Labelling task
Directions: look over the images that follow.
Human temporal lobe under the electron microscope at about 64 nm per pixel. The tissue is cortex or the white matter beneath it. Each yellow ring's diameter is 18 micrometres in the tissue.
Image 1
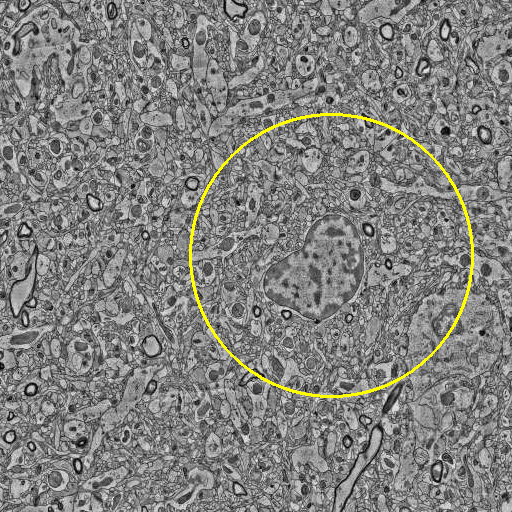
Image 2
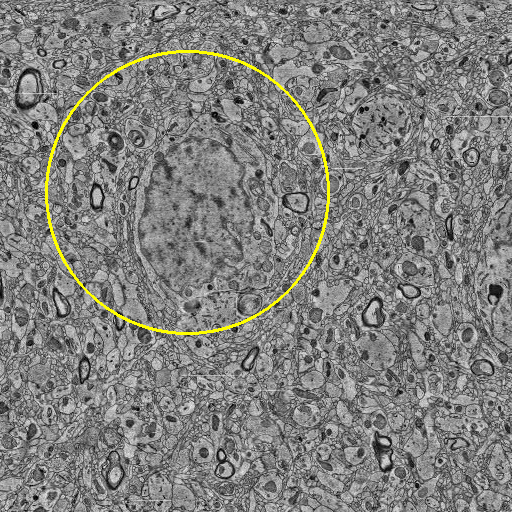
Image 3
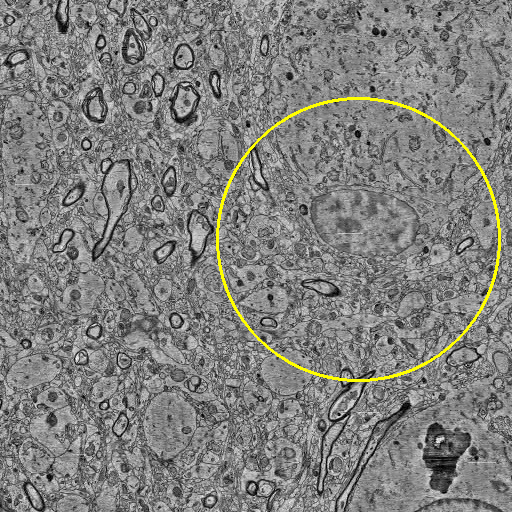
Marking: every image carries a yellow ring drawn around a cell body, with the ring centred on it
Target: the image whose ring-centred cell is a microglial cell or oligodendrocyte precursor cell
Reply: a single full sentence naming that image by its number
The requested cell sits at the ring's centre in Image 1.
